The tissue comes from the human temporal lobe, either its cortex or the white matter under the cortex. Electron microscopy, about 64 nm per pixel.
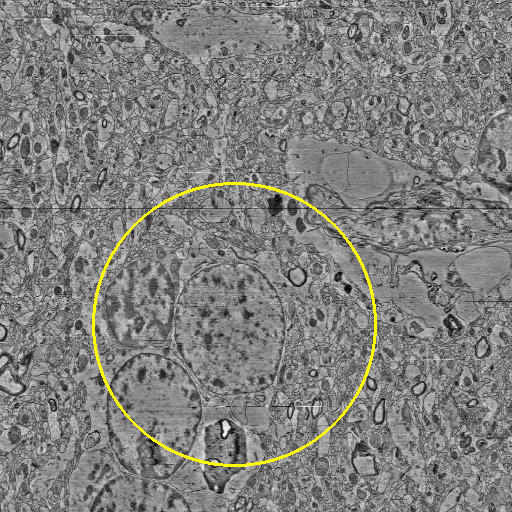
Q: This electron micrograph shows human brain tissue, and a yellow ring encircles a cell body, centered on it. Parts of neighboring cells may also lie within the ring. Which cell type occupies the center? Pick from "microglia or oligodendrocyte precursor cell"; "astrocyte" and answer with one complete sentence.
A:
What sits at the ring's center in this micrograph is an astrocyte, among those choices.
